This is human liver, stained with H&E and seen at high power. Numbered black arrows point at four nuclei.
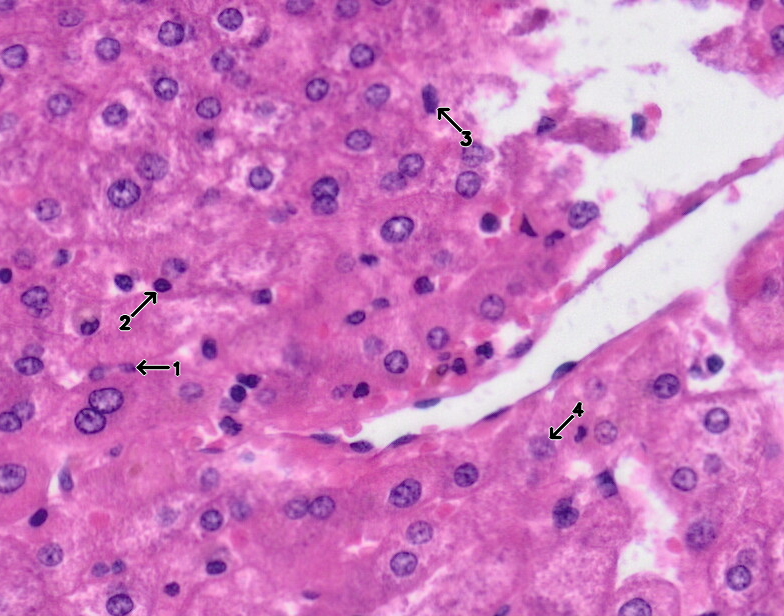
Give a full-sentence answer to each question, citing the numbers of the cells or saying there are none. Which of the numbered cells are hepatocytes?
Where the numbered cells are concerned, only number 4 is a hepatocyte.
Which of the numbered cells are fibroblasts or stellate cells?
The cells which carry the numbers 1 and 3 are fibroblasts or stellate cells.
